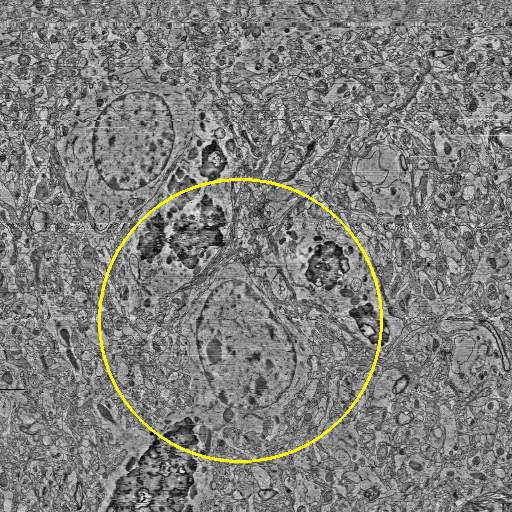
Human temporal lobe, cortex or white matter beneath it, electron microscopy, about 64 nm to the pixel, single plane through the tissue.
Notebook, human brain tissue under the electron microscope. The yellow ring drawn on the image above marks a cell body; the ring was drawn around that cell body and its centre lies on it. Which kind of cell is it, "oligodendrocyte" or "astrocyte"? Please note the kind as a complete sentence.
The marked cell body is that of an astrocyte.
